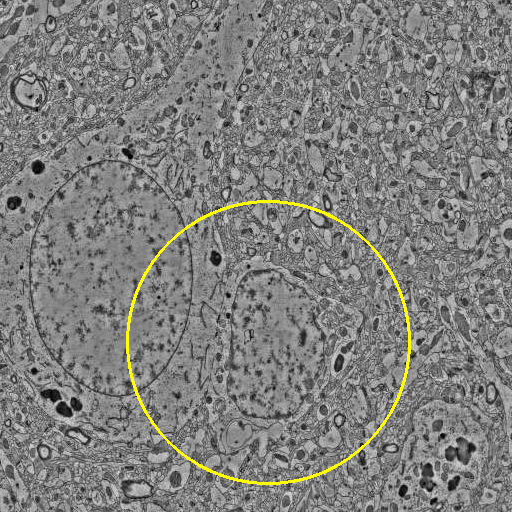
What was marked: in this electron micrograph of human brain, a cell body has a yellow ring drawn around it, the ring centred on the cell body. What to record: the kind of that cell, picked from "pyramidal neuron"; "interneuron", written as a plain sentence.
The centred cell is an interneuron.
